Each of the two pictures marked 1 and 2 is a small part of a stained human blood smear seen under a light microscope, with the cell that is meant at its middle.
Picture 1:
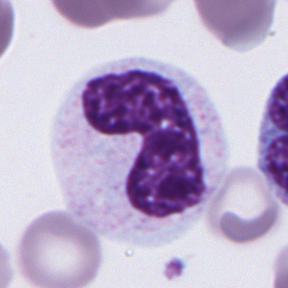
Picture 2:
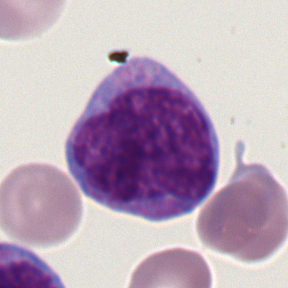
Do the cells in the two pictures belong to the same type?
no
